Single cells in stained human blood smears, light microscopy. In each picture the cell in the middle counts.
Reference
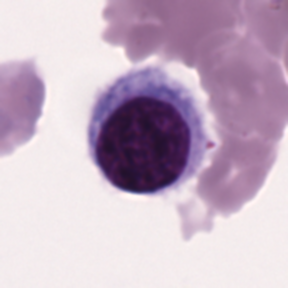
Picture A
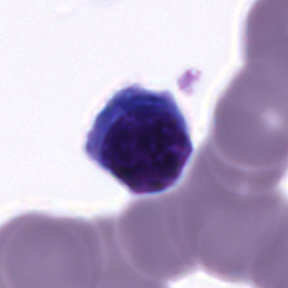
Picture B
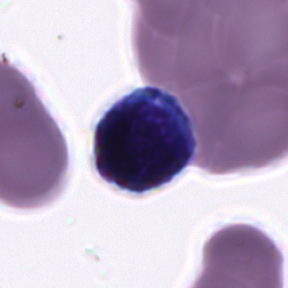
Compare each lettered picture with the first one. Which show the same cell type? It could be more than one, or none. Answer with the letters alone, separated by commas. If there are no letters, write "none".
none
